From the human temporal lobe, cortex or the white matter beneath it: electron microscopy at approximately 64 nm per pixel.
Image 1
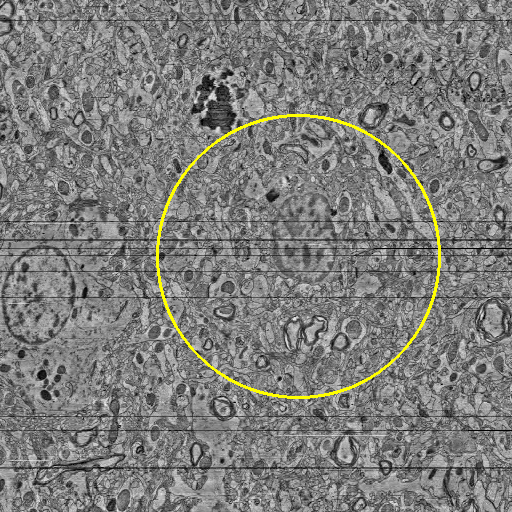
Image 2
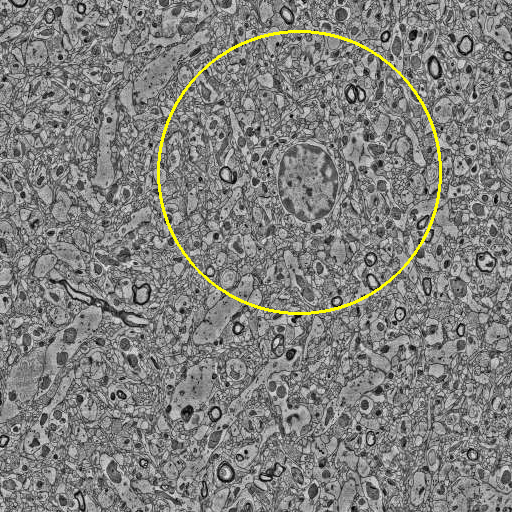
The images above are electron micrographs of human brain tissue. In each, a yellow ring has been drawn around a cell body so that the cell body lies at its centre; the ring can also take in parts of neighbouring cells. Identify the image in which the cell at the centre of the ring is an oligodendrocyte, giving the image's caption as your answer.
Image 1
